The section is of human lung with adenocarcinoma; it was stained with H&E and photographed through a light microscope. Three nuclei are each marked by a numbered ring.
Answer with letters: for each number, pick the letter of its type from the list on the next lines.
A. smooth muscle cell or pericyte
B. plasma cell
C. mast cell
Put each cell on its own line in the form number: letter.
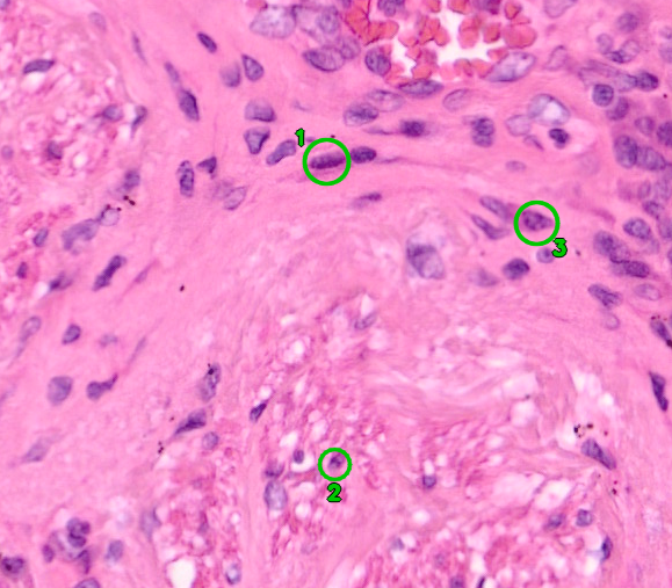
1: B
2: A
3: B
